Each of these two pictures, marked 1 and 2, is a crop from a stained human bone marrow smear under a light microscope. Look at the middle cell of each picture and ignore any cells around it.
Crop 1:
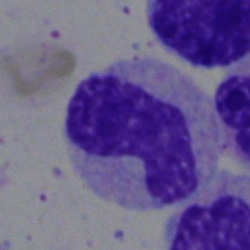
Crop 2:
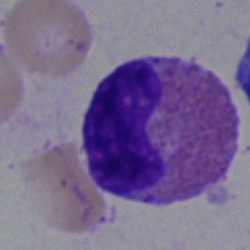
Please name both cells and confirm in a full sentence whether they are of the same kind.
No, crop 1 displays a band neutrophil, and crop 2 displays an eosinophil.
